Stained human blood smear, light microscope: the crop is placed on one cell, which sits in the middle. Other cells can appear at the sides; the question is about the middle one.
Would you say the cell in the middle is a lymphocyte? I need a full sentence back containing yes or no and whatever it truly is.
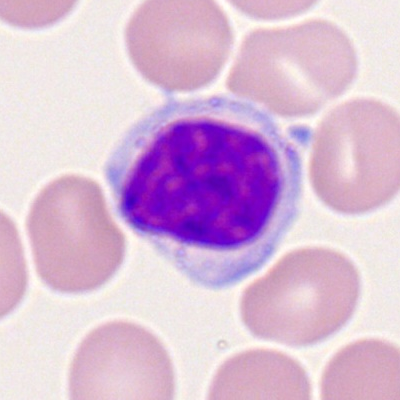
Yes, the middle cell of the field is a lymphocyte.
